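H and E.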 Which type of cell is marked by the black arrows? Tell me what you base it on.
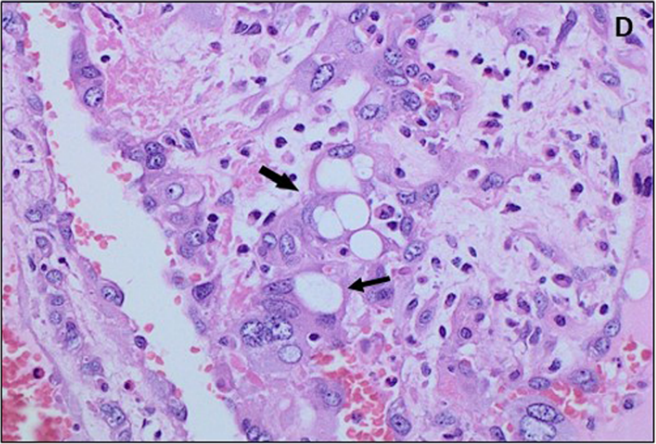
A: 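The arrows point to cells whose cytoplasm holds several clear round vacuoles. The vacuoles lie against the nuclei.
Hence: lipoblast-like cells.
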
